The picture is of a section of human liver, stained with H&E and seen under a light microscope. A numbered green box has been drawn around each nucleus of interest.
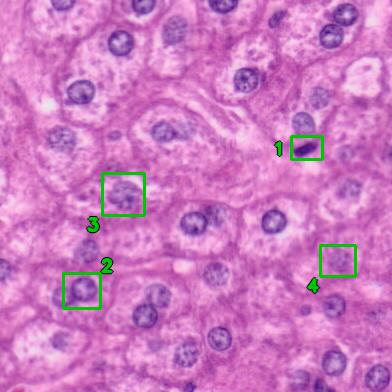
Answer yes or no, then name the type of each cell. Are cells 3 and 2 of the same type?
Yes, both are hepatocytes.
